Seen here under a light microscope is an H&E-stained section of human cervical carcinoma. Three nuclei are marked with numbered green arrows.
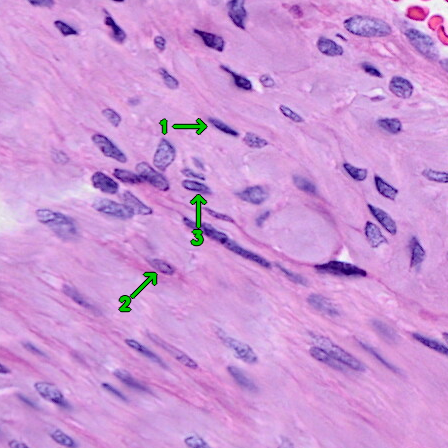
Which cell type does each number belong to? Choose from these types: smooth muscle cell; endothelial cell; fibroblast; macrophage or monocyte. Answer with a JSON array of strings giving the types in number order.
["fibroblast", "smooth muscle cell", "fibroblast"]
